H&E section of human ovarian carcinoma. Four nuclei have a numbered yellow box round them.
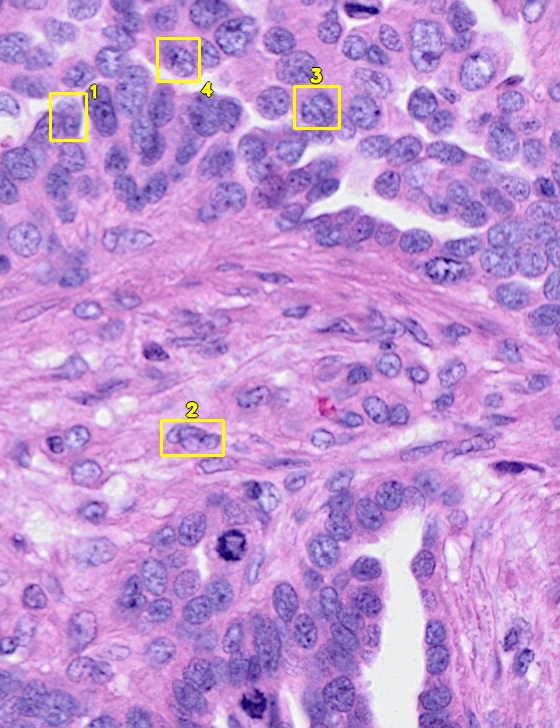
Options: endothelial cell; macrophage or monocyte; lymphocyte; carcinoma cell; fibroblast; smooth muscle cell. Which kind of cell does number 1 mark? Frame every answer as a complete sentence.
The mark numbered 1 indicates the nucleus of a carcinoma cell.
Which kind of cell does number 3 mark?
In the tissue shown, cell 3 is a carcinoma cell.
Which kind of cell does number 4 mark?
The numbered cell 4 in this field is a carcinoma cell.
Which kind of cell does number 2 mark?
The nucleus with number 2 is that of a fibroblast.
